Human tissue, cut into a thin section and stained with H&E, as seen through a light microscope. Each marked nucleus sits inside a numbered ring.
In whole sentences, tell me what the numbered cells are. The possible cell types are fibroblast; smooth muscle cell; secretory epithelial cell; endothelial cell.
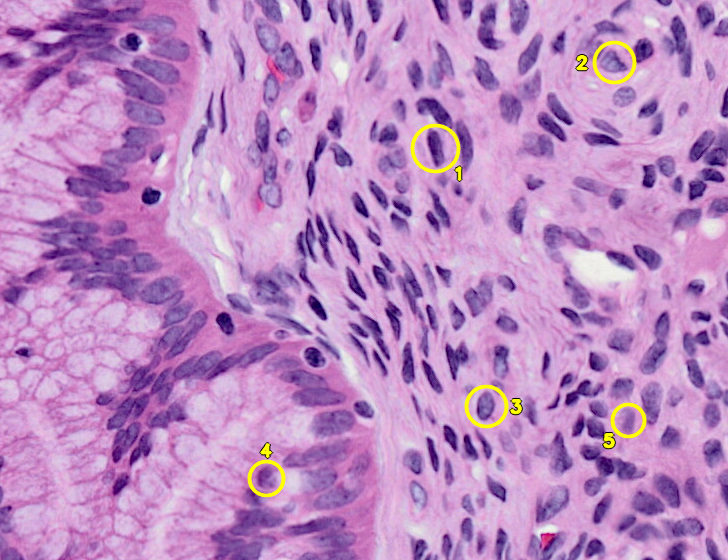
Cells 1 and 5 are fibroblasts. Cell 2 is an endothelial cell. Cell 3 is a smooth muscle cell. Cell 4 is a secretory epithelial cell.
